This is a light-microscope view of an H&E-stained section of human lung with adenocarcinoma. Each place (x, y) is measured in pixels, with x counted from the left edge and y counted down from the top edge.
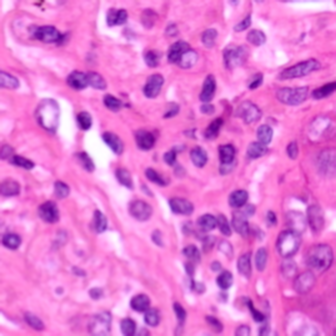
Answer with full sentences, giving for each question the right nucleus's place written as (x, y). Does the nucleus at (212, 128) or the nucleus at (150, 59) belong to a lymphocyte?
The nucleus found at (150, 59) belongs to a lymphocyte.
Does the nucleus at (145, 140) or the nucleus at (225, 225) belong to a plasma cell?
Of the pair, the nucleus located at (145, 140) belongs to a plasma cell.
